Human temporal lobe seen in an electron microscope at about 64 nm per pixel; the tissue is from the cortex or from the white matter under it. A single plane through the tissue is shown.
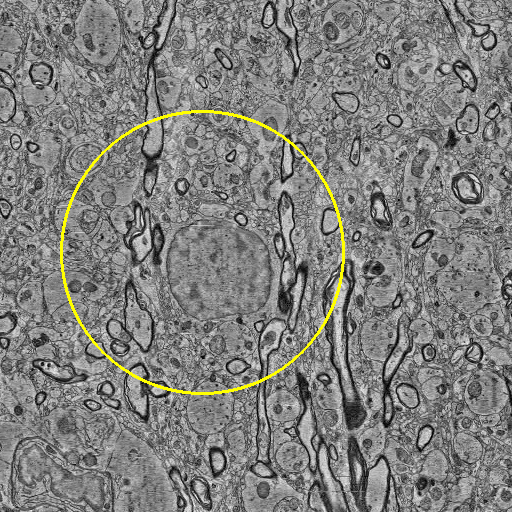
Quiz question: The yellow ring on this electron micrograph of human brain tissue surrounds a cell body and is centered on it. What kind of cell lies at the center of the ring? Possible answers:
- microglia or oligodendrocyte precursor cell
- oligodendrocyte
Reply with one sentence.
The ring's center lies on an oligodendrocyte.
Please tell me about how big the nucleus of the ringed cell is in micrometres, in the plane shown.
The nucleus comes to roughly 7 micrometres across in this plane.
